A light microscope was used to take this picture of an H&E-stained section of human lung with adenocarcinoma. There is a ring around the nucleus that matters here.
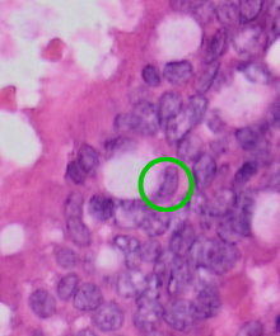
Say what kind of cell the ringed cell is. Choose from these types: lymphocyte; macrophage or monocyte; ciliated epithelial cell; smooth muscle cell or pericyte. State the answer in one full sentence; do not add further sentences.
So far as cell type goes, the ringed cell is a ciliated epithelial cell.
